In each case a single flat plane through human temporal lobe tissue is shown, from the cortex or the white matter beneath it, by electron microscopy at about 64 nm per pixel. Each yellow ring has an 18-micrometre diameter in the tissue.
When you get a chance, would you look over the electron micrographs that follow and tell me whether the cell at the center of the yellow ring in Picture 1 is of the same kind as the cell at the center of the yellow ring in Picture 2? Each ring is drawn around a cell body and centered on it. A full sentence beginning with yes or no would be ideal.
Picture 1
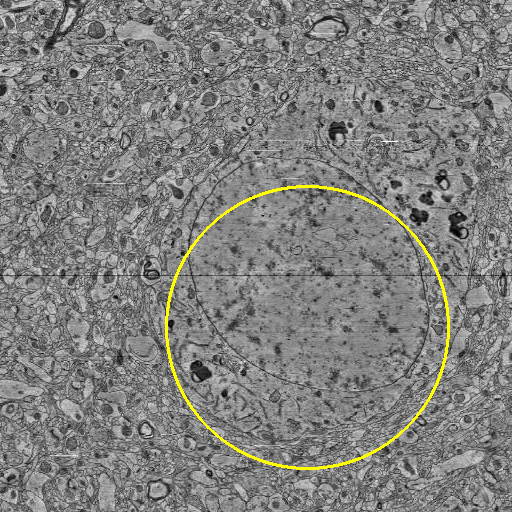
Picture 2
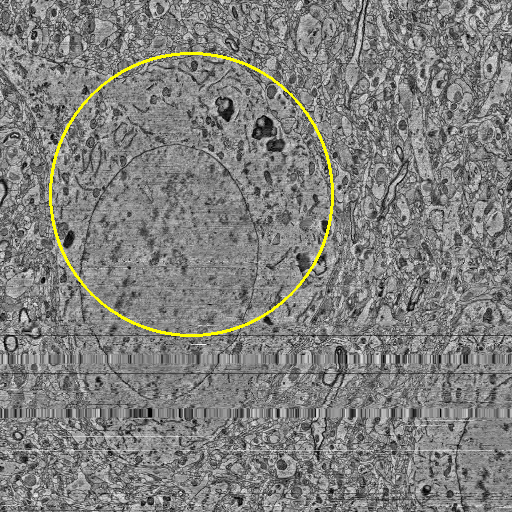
Yes, the two cells are of the same kind.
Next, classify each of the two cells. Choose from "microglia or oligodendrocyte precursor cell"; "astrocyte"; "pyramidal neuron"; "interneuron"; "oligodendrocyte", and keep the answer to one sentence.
Each of the two rings is centred on a pyramidal neuron.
